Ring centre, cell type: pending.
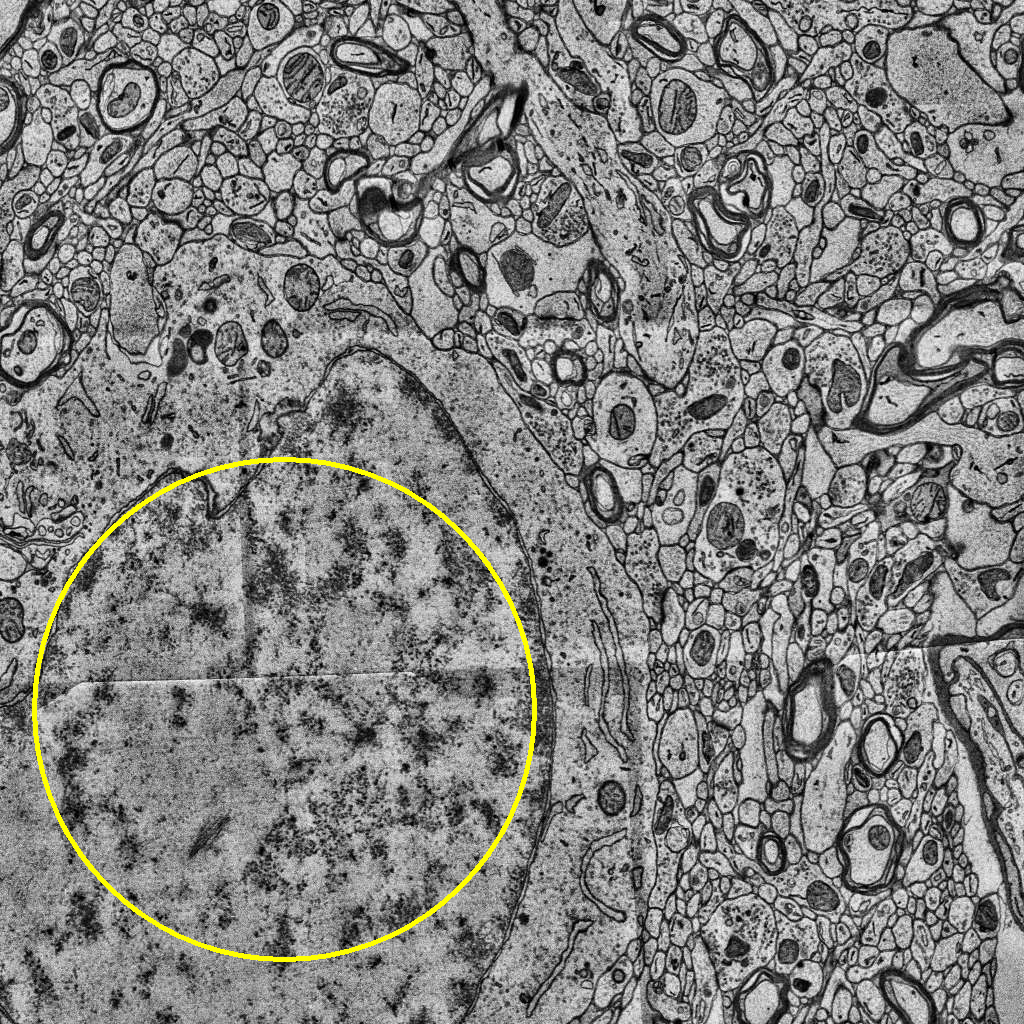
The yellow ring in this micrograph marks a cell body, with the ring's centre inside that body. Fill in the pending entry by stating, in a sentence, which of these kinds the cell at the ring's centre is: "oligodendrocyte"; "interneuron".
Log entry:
The cell at the ring's centre is recorded as an interneuron.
